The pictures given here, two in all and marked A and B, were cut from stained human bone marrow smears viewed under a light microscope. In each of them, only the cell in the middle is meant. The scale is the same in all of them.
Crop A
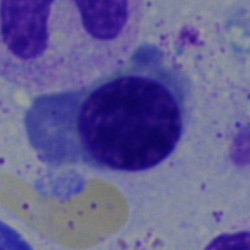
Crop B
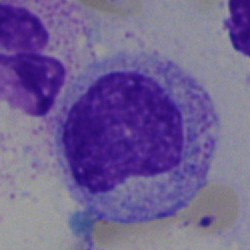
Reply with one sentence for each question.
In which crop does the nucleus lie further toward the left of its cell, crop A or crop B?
It is the nucleus in crop B that lies further toward the left of its cell.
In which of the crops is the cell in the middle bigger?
Crop B holds the larger cell; it covers about 1.5 times the area of the cell in crop A.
